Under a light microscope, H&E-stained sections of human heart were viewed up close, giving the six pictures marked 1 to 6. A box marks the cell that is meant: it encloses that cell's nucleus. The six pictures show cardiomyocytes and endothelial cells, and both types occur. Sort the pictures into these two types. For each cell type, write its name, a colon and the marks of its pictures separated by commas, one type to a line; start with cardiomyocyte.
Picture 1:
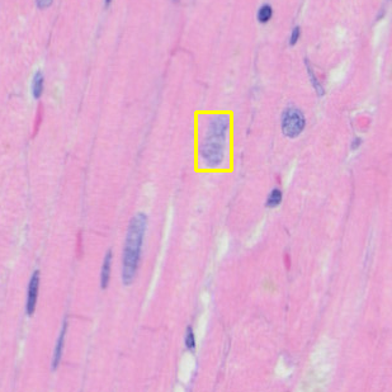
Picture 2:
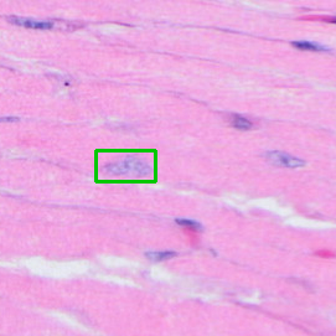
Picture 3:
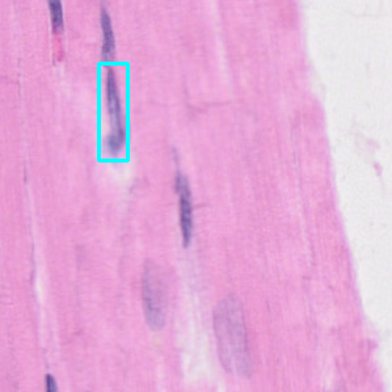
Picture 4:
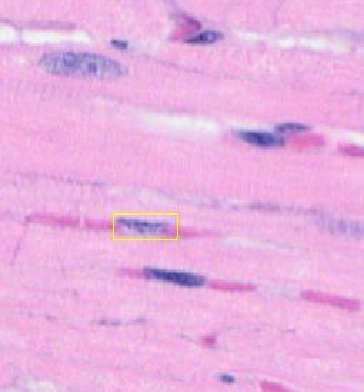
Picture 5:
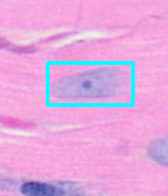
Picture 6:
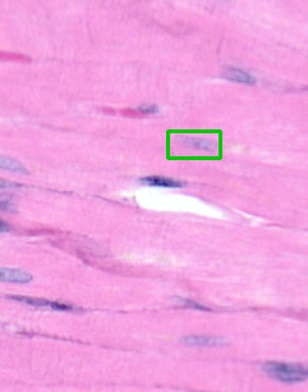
cardiomyocyte: 1, 2, 5, 6
endothelial cell: 3, 4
